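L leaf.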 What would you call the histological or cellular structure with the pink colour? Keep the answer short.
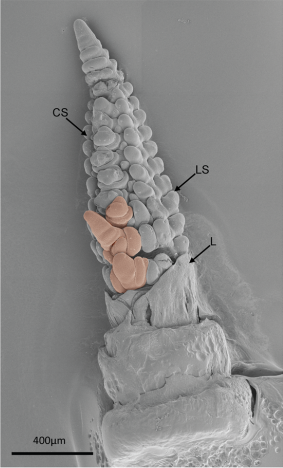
Outgrowing branch structure.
